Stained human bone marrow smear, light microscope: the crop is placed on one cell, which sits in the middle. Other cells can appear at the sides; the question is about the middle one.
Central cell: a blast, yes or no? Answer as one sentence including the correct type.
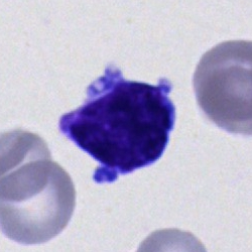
Yes, the cell at the heart of the crop is a blast.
